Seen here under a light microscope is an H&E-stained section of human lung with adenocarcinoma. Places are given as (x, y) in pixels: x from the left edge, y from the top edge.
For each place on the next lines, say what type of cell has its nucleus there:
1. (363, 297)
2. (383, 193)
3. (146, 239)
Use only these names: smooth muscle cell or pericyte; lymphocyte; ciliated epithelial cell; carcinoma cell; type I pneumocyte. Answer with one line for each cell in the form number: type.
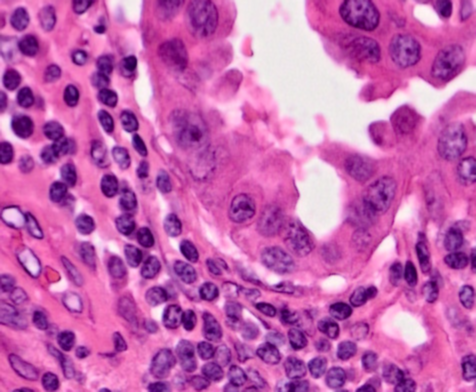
1: lymphocyte
2: carcinoma cell
3: lymphocyte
